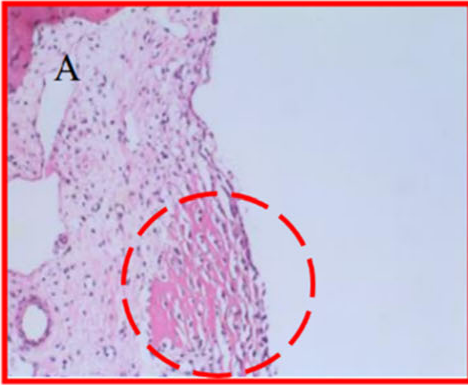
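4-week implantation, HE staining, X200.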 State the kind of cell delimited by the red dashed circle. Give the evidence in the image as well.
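The circle encloses pink-stained matrix with small cells set in it. Cells with dark nuclei line the edge of the pink matrix. On this evidence: osteoblasts.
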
